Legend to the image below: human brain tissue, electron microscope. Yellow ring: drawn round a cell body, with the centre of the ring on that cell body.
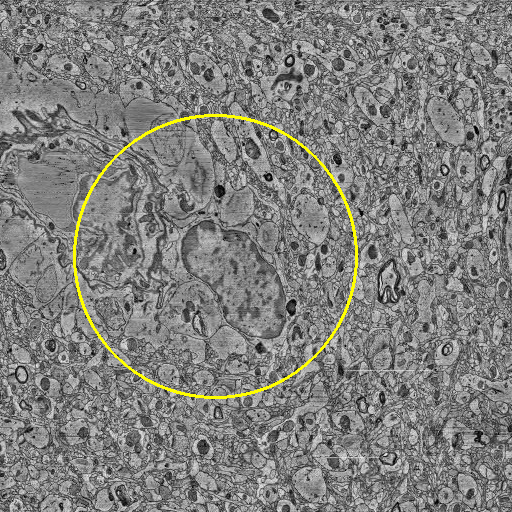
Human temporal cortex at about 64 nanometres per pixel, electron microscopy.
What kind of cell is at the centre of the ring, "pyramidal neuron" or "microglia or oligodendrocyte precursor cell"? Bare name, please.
microglia or oligodendrocyte precursor cell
